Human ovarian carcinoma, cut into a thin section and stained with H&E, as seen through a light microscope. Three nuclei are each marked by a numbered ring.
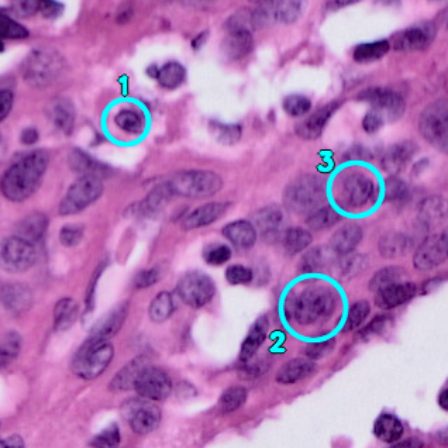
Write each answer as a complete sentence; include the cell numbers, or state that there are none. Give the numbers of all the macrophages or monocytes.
The nucleus numbered 1 is the only one that belongs to a macrophage or monocyte.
